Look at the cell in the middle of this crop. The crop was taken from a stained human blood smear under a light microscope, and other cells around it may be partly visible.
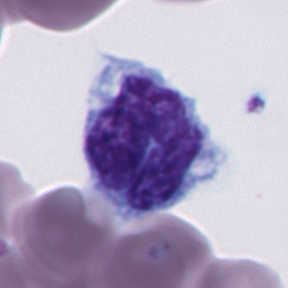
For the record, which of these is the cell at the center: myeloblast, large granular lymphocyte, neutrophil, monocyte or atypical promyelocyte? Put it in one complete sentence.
The middle cell in this particular crop is a monocyte.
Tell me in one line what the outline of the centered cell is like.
Because its outline is ragged or drawn out into projections, the cell lacks a smooth border.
